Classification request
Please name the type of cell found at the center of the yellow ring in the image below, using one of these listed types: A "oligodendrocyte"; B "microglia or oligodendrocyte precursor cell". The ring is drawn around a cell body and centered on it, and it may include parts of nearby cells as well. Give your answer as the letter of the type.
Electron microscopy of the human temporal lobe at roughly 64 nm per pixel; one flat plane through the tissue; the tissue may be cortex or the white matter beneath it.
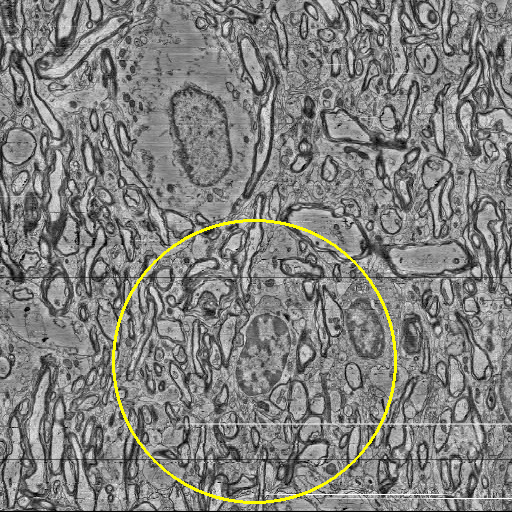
B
